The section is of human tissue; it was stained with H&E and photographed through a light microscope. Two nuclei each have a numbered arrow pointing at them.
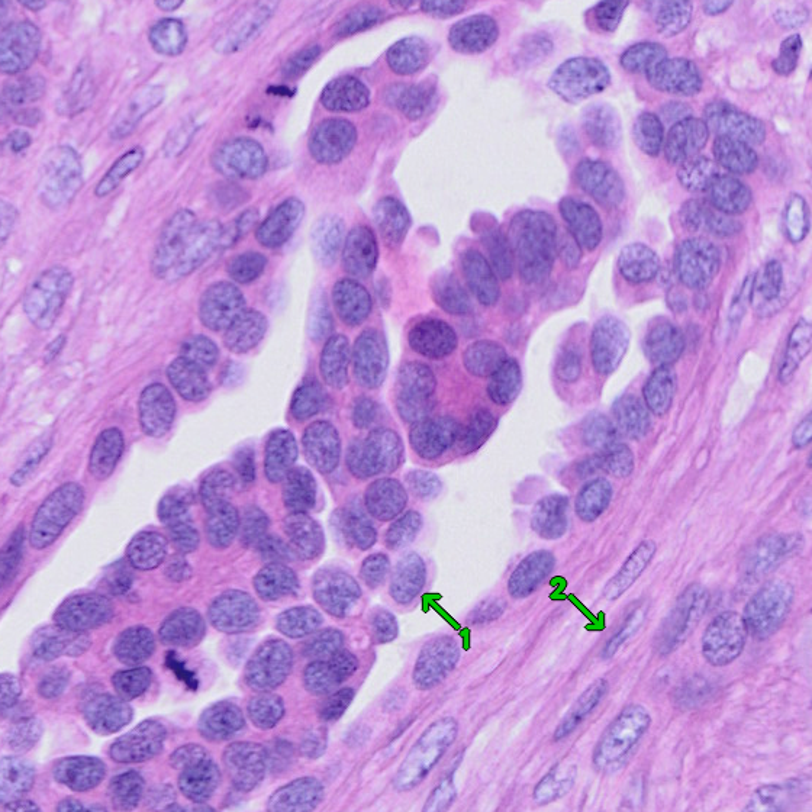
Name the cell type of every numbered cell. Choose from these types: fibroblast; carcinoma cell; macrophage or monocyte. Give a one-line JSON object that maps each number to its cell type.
{"1": "carcinoma cell", "2": "fibroblast"}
